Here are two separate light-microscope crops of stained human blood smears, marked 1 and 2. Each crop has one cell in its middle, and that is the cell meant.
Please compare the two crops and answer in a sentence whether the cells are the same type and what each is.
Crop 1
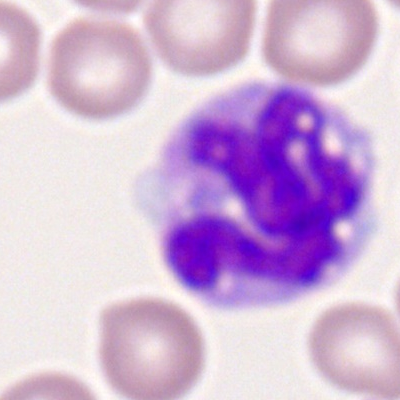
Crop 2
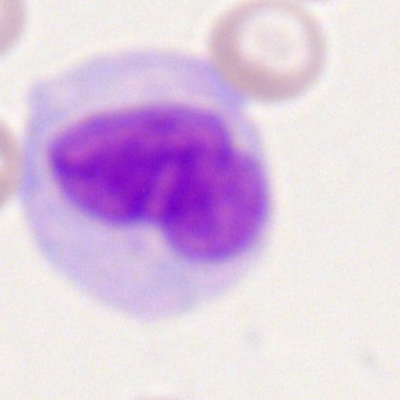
Yes, both crops have monocytes as their central cells.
